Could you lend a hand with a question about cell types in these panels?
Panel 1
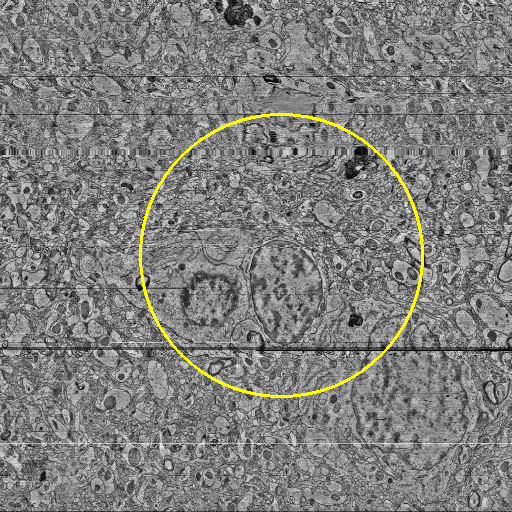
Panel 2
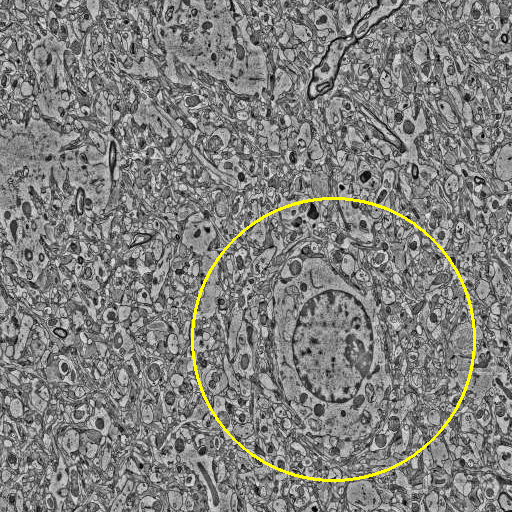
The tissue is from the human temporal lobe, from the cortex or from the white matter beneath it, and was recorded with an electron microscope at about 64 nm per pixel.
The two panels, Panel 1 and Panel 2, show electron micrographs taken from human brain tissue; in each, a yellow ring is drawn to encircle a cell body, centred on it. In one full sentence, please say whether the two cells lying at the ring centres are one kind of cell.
No, the cells at the ring centres in the two panels are two kinds of cell.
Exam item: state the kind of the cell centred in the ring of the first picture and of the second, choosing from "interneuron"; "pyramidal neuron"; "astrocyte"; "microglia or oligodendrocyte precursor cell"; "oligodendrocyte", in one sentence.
The first picture shows a microglial cell or oligodendrocyte precursor cell at the ring centre and the second shows an astrocyte.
